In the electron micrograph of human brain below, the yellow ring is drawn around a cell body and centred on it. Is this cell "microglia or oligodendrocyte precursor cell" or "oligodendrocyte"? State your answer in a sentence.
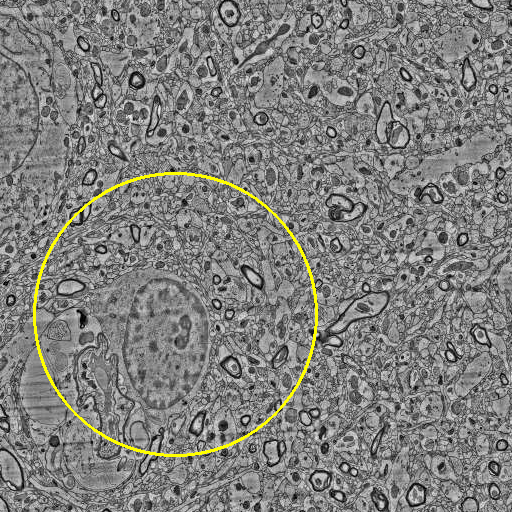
The cell in the middle of the ring is an oligodendrocyte.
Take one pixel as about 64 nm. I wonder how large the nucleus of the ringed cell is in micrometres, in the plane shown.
Roughly 8 micrometres by 5 micrometres, so the nucleus is clearly longer than it is wide in this plane.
